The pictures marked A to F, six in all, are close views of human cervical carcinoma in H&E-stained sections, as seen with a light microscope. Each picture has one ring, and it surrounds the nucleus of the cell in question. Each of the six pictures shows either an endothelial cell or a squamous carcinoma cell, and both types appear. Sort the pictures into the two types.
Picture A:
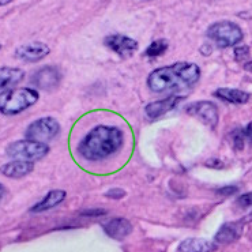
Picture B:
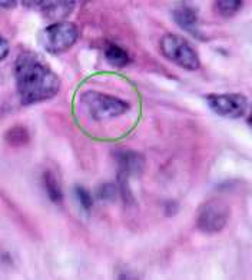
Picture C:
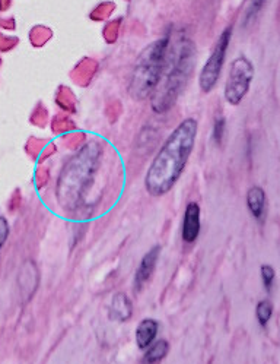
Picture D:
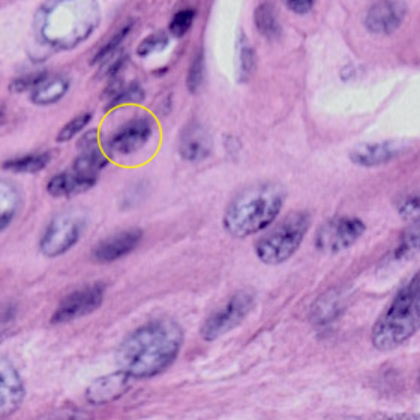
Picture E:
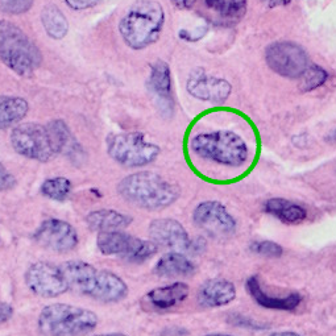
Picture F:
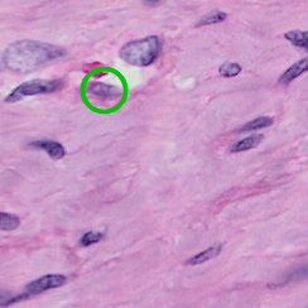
A: squamous carcinoma cell
B: endothelial cell
C: endothelial cell
D: squamous carcinoma cell
E: squamous carcinoma cell
F: endothelial cell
